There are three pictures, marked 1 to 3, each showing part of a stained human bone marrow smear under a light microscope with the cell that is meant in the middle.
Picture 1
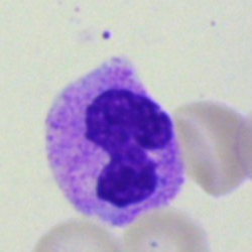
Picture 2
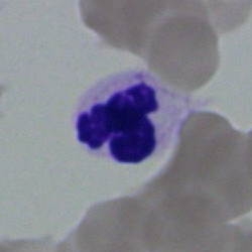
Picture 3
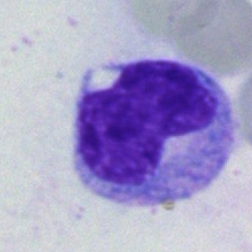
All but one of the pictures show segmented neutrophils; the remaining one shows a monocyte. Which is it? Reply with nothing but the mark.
3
